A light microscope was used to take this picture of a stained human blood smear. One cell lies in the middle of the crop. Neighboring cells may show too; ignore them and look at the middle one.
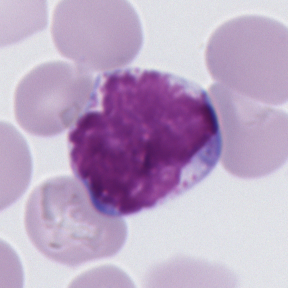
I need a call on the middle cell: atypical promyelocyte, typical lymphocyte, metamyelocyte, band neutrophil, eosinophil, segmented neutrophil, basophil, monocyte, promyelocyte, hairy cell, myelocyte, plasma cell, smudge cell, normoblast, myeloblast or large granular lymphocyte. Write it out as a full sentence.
The cell featured at the centre of this crop is a large granular lymphocyte.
